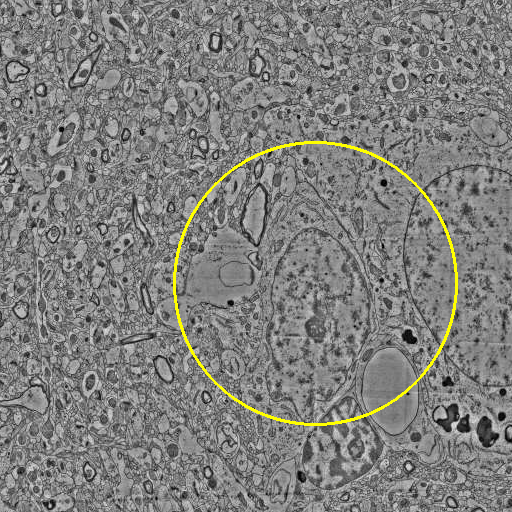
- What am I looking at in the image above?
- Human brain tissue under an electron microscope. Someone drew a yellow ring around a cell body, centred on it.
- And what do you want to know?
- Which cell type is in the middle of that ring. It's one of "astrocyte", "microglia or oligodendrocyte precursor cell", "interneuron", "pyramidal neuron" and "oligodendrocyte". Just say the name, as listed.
interneuron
